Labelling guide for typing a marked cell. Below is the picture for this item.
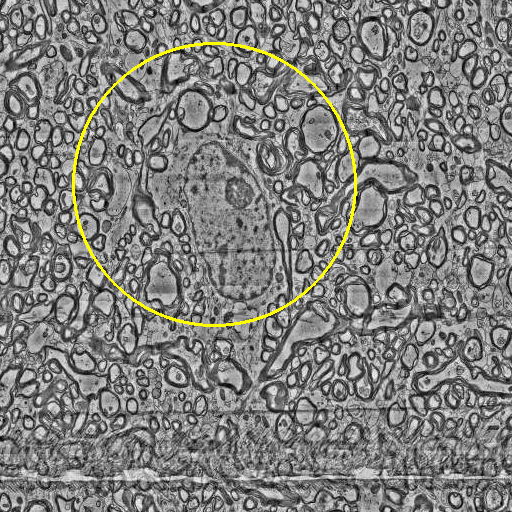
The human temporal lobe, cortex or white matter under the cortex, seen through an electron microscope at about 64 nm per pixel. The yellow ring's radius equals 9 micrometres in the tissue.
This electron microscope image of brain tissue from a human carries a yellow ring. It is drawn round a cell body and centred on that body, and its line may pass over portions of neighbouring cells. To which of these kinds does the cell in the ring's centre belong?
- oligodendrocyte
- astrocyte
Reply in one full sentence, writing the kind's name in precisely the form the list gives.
Here we have an astrocyte at the centre of the yellow ring in the picture.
